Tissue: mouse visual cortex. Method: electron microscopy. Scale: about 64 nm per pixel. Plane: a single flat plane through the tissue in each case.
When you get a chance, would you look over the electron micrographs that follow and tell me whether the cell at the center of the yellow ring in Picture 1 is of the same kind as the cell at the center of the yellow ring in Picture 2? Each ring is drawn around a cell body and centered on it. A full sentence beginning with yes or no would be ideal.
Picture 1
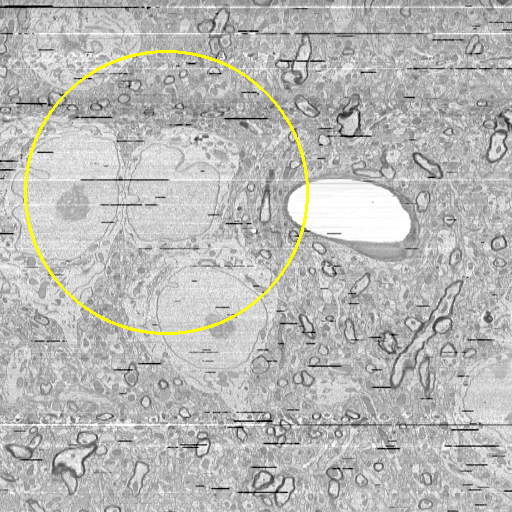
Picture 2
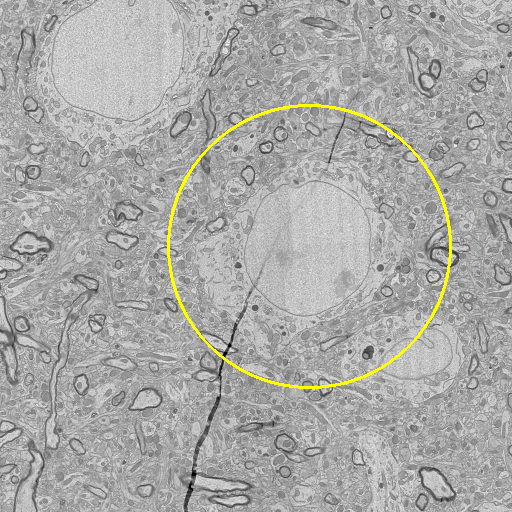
Yes, the two cells are of the same kind.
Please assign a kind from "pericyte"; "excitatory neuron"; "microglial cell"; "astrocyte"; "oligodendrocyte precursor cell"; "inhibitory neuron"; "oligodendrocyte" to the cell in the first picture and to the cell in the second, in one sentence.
In both pictures the ring is centred on an excitatory neuron.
